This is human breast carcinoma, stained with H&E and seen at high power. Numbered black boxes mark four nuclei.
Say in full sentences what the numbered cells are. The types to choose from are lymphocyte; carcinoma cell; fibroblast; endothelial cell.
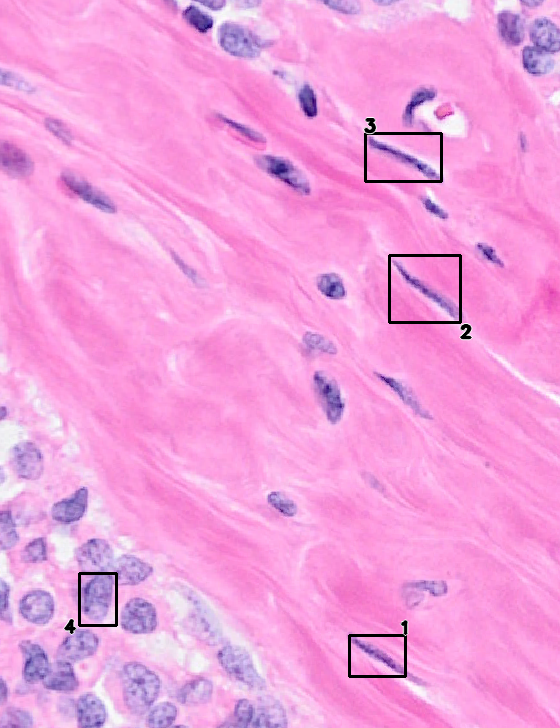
Cell 1 is a fibroblast, cell 2 is a fibroblast, cell 3 is a fibroblast and cell 4 is a carcinoma cell.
